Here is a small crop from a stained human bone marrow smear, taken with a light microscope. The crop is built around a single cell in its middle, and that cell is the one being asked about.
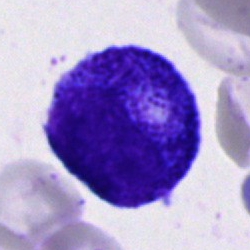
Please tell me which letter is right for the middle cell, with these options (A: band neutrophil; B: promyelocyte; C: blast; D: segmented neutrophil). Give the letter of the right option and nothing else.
B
